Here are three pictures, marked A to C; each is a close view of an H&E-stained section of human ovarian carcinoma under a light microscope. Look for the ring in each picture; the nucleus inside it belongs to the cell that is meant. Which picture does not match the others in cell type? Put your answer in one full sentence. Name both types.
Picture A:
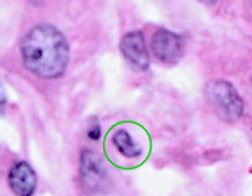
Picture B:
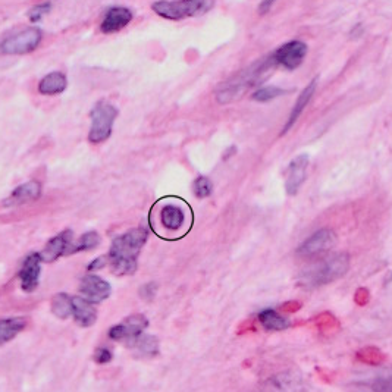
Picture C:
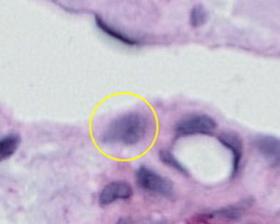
Unlike the rest, which show lymphocytes, picture C shows an endothelial cell.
